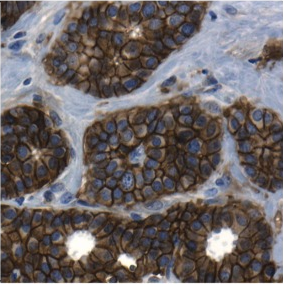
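Nests of tumor cells lie closely packed in a pale blue stroma, some arranged around small round lumina. Each cell is outlined by a sharp dark brown line at its border, giving a honeycomb pattern, with lighter brown cytoplasm inside. The nuclei are round to oval and blue, centred in the cells. The thin stroma between the nests holds scattered spindle-shaped nuclei and stays unstained.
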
